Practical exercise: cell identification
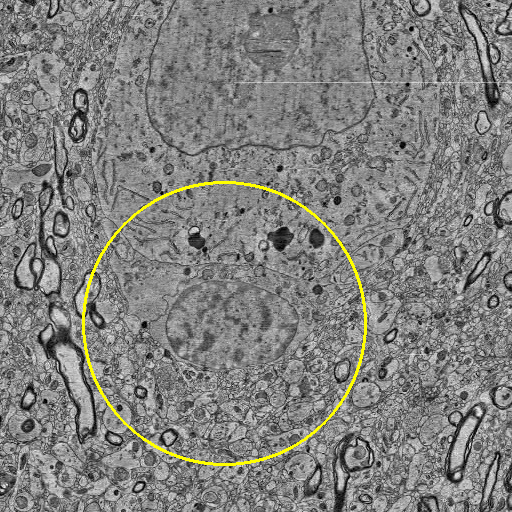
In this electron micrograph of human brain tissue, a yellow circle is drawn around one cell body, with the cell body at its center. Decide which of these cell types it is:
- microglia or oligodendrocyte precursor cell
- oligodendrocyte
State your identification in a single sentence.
The ringed cell is an oligodendrocyte.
